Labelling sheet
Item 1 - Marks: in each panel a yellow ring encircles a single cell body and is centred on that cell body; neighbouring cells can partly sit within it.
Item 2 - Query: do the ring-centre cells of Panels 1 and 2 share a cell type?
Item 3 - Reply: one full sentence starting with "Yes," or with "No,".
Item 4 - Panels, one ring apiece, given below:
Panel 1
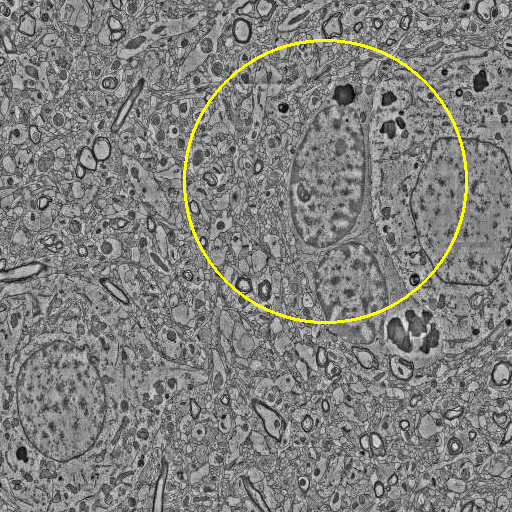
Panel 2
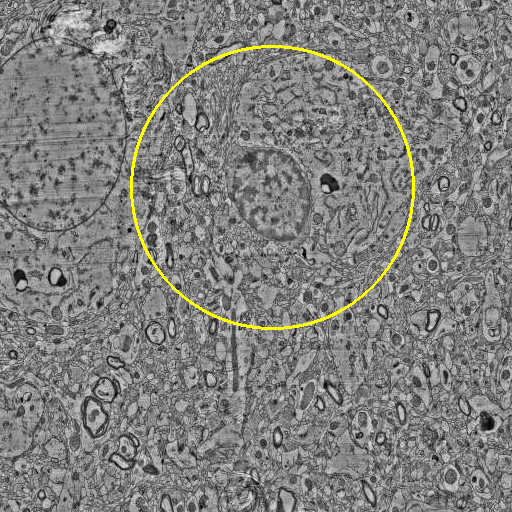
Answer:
Yes, Panel 1 and Panel 2 show one cell type at the centres of their rings.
